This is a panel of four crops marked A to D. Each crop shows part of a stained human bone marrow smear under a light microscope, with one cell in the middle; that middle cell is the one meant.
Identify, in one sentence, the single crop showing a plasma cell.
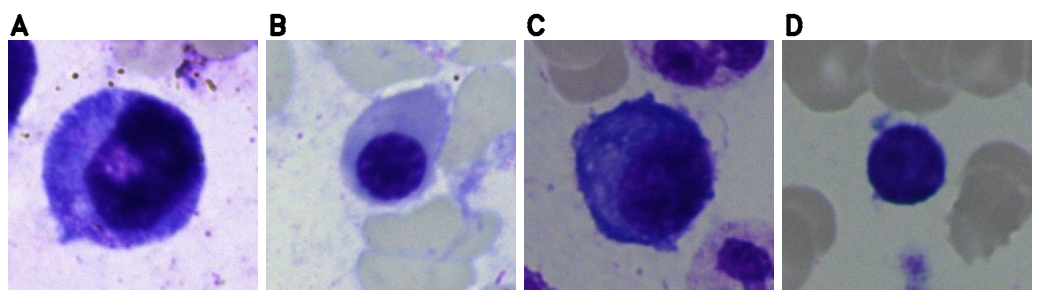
The cell at the center of crop C is the one that is a plasma cell.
